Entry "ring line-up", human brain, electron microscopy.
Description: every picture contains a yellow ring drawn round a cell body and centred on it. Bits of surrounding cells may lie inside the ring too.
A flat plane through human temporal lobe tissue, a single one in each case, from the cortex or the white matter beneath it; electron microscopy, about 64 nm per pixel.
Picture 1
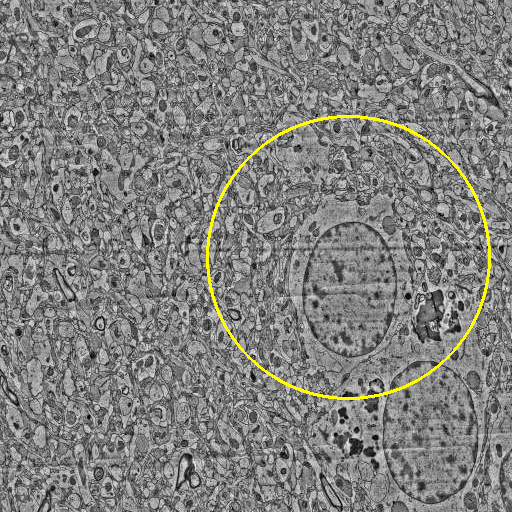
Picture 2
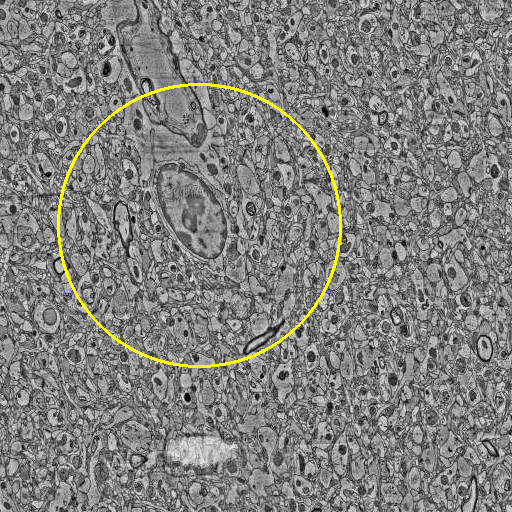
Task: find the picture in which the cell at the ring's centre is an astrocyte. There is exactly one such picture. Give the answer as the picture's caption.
Picture 1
